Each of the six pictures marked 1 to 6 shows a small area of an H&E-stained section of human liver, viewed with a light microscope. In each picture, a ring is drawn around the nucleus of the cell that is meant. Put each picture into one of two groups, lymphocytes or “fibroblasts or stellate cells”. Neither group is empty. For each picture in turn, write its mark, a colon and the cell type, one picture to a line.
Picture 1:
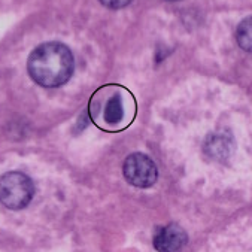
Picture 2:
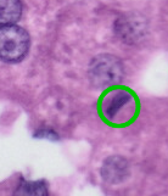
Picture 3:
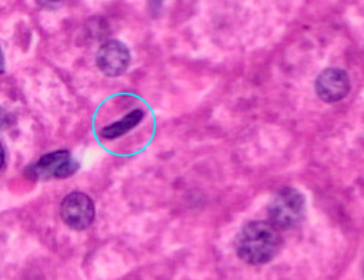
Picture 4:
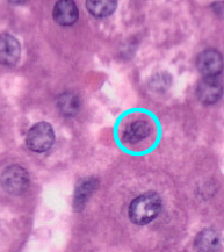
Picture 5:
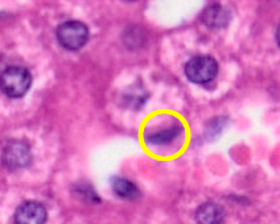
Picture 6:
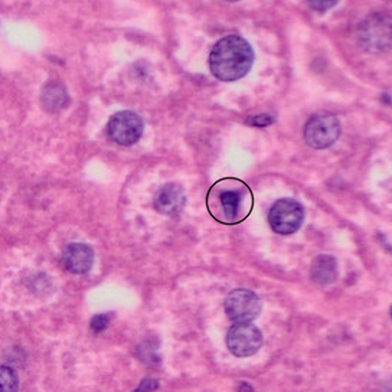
1: lymphocyte
2: fibroblast or stellate cell
3: lymphocyte
4: fibroblast or stellate cell
5: fibroblast or stellate cell
6: fibroblast or stellate cell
